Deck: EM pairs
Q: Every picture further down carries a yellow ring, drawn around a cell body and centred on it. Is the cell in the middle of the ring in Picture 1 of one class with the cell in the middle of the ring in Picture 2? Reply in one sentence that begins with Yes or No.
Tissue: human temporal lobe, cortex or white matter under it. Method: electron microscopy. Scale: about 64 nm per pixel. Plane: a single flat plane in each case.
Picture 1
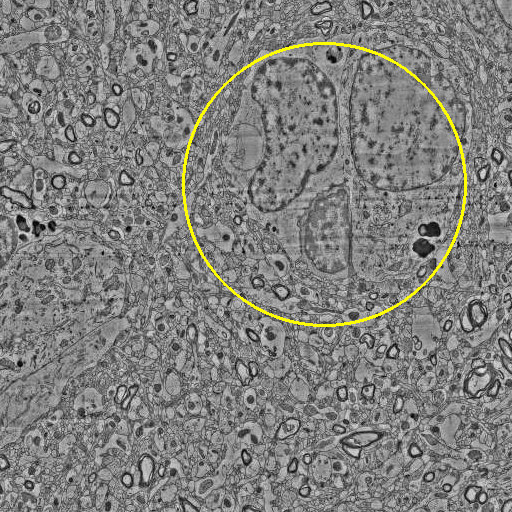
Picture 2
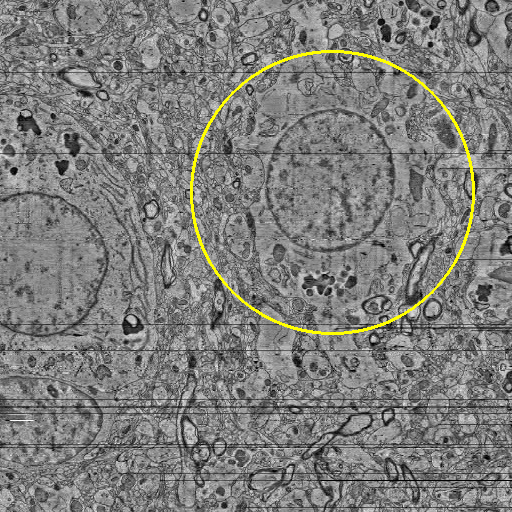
No, the cell centred in the ring of Picture 1 and the one in Picture 2 belong to separate classes.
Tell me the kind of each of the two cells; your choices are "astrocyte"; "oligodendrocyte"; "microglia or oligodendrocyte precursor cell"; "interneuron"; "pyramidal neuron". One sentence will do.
The ringed cell is an oligodendrocyte in the first picture and an astrocyte in the second picture.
